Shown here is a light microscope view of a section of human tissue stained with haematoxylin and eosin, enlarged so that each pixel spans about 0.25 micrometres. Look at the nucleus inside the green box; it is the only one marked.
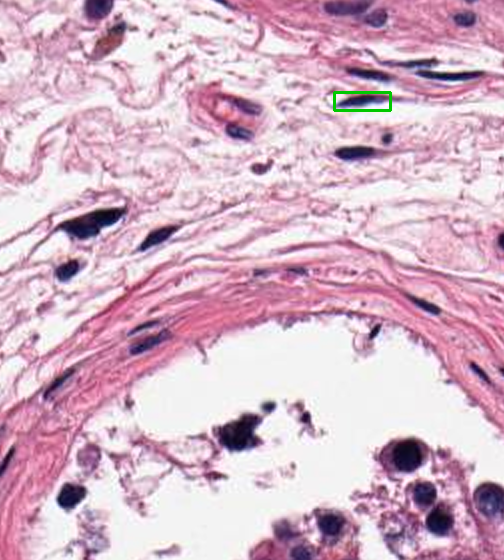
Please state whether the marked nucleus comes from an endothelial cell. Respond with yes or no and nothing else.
no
